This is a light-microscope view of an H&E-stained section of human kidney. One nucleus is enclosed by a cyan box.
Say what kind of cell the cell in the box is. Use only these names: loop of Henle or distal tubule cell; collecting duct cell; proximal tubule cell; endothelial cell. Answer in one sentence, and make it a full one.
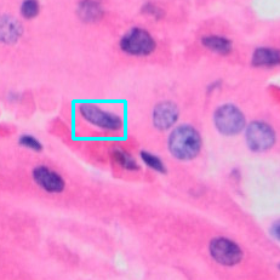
Within this tissue, the cell in the box is an endothelial cell.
